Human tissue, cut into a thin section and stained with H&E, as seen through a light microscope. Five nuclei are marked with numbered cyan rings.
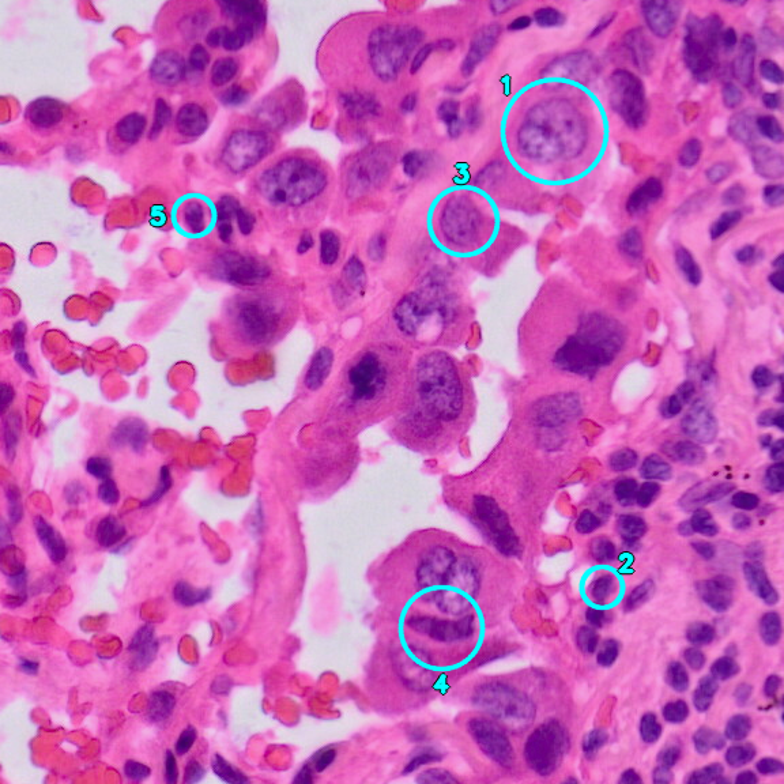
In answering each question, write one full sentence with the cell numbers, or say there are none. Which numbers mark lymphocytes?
The cells labelled 2 and 5 in this section are lymphocytes.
